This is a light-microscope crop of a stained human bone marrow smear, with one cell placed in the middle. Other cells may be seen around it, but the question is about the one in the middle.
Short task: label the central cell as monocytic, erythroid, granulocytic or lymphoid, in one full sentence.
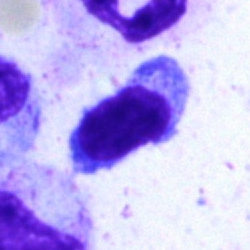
The cell occupying the middle of the crop is classified within the lymphoid lineage.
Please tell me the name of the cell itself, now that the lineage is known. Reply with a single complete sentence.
In this smear crop, the middle cell is a lymphocyte.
